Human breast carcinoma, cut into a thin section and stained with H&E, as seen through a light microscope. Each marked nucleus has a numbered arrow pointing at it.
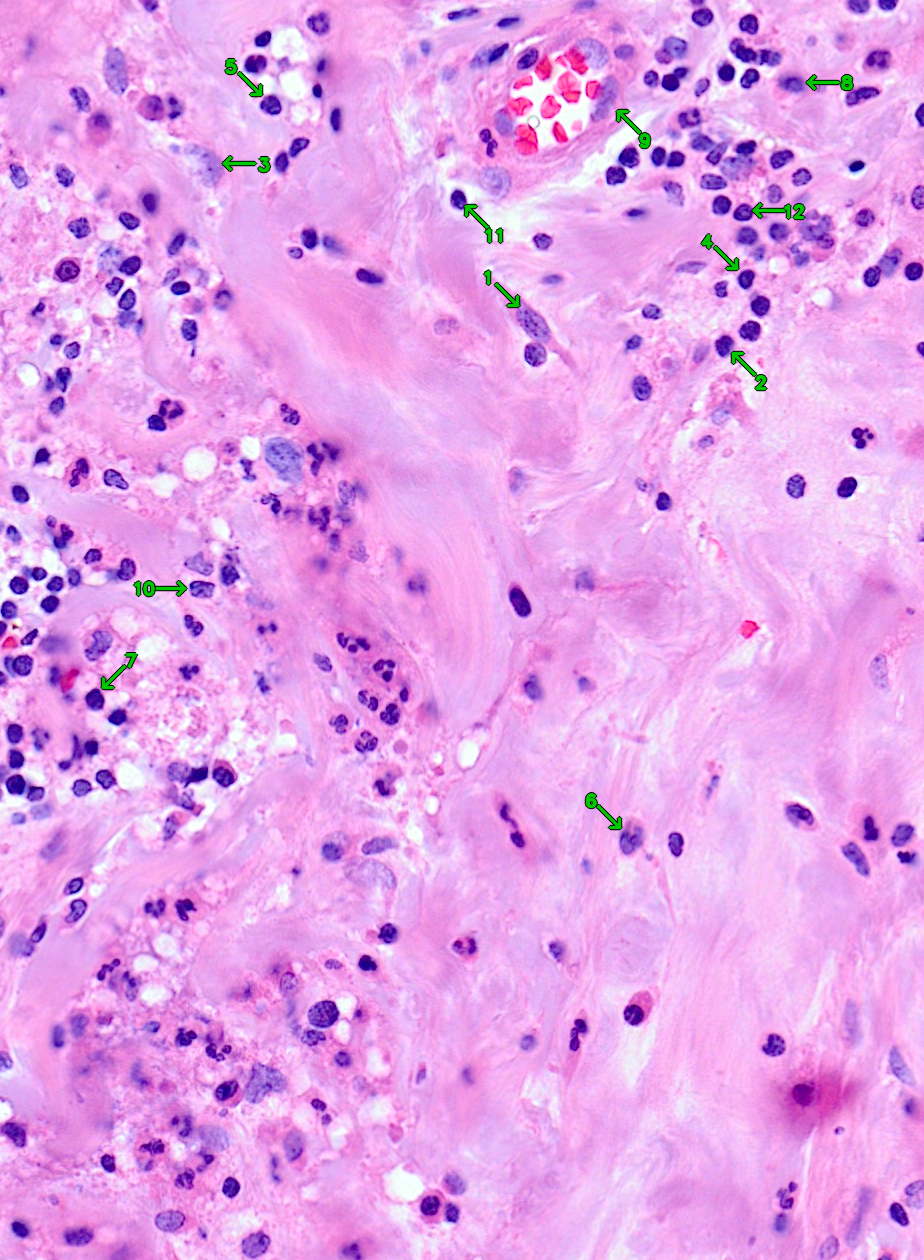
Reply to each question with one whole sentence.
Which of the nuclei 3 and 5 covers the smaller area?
The smaller nucleus is 5, and 3 covers roughly 2.5 times its area.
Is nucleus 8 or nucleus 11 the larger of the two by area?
The larger nucleus is 8, at roughly 1.5 times the area of 11.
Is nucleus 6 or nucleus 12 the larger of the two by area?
Nucleus 6 is the larger one, covering about 1.5 times the area of nucleus 12.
